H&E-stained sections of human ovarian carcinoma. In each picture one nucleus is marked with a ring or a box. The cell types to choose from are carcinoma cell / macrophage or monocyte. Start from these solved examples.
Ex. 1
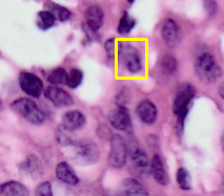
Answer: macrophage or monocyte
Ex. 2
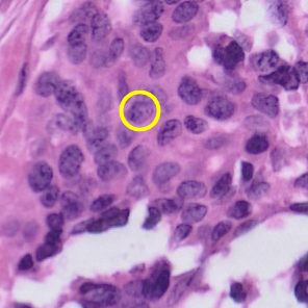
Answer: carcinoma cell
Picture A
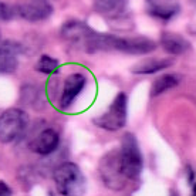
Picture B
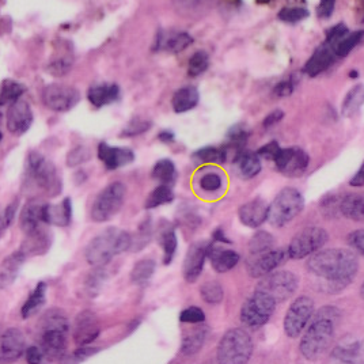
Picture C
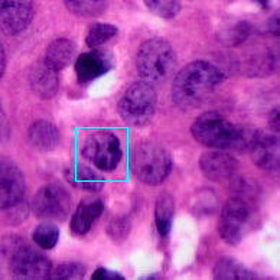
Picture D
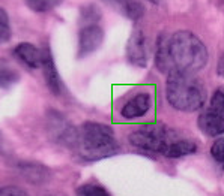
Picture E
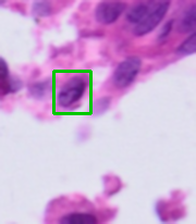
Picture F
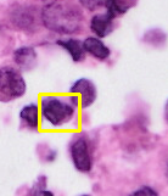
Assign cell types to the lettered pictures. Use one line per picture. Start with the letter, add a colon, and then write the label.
A: macrophage or monocyte
B: macrophage or monocyte
C: macrophage or monocyte
D: macrophage or monocyte
E: macrophage or monocyte
F: carcinoma cell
